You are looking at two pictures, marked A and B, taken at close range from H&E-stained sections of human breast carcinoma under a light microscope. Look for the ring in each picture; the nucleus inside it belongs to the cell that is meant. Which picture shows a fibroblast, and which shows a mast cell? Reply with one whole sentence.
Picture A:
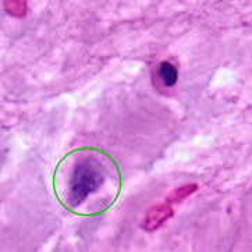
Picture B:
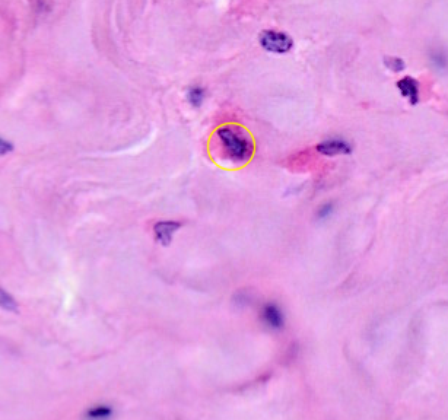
Picture A is of a fibroblast, and picture B is of a mast cell.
